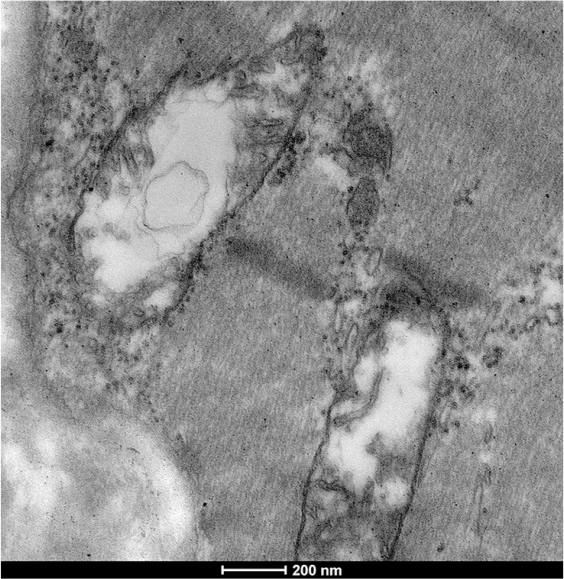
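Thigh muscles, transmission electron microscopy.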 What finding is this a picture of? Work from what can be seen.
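Mitochondria between the myofibrils are enlarged with a pale, electron-lucent interior. Their outer membrane is stretched around a largely empty matrix. On this evidence: mitochondrial swelling.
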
